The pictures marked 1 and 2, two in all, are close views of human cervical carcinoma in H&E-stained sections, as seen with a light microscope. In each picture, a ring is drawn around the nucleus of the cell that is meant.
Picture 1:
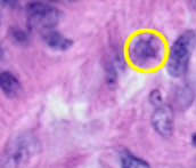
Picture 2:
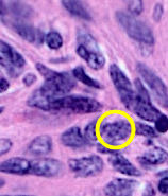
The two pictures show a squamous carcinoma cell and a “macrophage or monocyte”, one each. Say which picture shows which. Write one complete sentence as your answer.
It is picture 1 that shows a “macrophage or monocyte”, and picture 2 that shows a squamous carcinoma cell.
